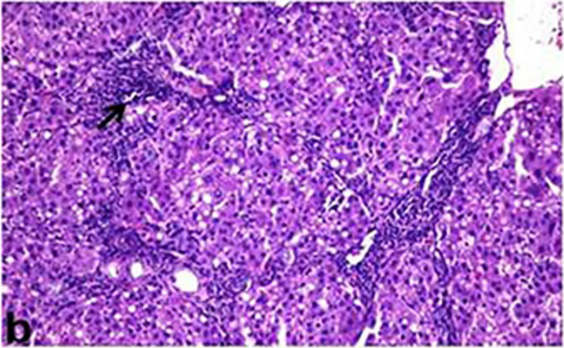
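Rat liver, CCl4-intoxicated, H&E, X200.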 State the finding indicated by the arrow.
Mononuclear cell infiltration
